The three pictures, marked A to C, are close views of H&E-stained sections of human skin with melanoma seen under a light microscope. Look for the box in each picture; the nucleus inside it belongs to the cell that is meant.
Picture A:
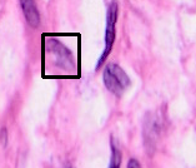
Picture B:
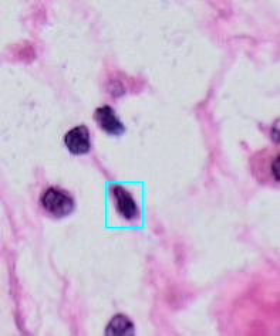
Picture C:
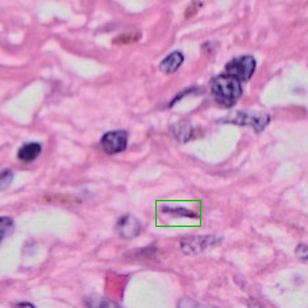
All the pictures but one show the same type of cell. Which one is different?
B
